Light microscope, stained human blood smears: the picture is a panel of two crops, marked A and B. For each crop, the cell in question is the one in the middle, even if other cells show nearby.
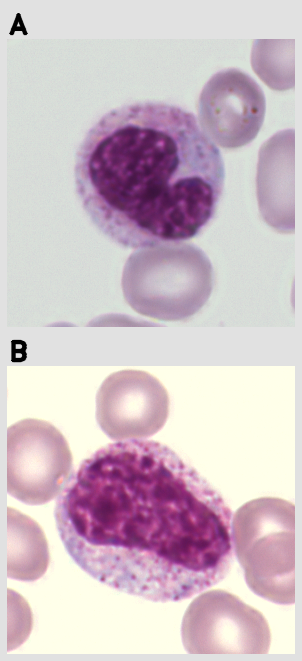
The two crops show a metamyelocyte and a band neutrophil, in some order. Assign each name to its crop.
A: band neutrophil
B: metamyelocyte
